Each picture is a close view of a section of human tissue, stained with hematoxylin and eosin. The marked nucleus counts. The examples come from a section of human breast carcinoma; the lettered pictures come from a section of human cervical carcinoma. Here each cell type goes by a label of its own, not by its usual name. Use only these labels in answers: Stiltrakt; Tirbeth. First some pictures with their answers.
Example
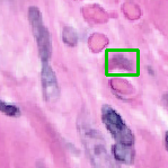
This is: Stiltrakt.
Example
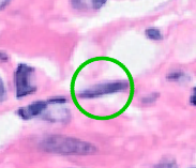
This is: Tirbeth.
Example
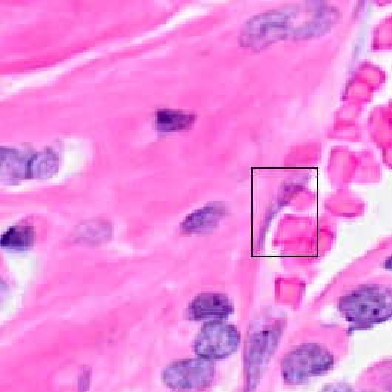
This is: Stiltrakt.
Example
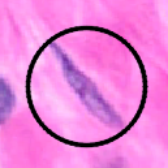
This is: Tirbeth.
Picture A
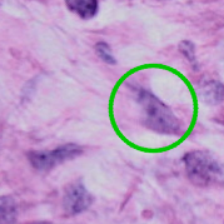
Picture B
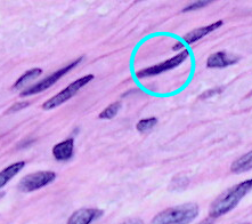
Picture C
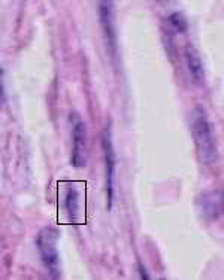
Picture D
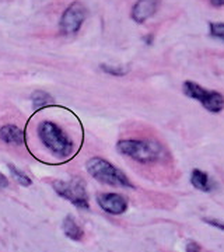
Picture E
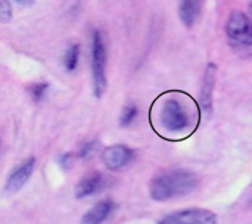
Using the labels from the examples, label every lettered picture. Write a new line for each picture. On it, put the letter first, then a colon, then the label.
A: Tirbeth.
B: Tirbeth.
C: Tirbeth.
D: Stiltrakt.
E: Tirbeth.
